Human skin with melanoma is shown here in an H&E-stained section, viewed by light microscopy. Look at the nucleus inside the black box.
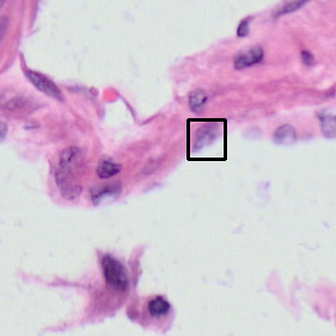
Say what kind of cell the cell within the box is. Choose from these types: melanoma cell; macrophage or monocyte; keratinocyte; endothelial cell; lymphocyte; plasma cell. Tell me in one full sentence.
Microscopically, the cell within the box is categorized as an endothelial cell.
